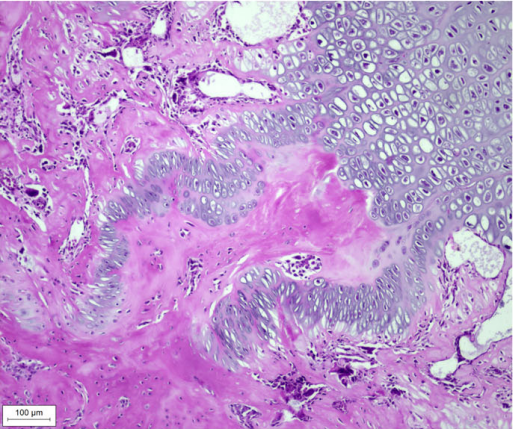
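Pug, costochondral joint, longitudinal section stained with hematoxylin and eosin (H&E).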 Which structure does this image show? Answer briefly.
Tongue‐like projections of cartilage.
